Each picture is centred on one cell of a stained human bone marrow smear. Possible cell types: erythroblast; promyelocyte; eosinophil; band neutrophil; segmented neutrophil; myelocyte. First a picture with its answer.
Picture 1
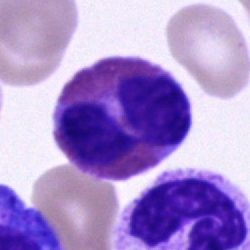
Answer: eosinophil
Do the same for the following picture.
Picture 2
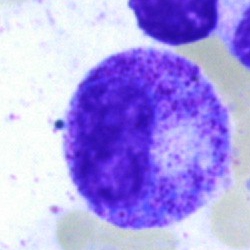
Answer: myelocyte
